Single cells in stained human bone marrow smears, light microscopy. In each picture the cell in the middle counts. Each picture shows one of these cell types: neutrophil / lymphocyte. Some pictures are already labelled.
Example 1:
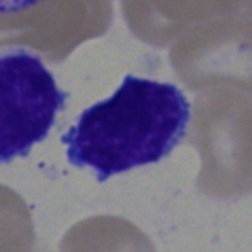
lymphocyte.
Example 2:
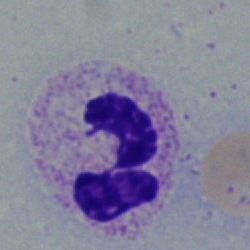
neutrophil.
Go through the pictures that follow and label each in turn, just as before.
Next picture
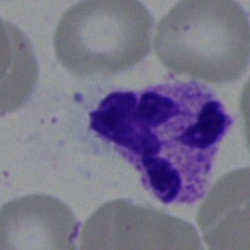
neutrophil.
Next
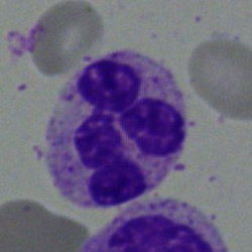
neutrophil.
